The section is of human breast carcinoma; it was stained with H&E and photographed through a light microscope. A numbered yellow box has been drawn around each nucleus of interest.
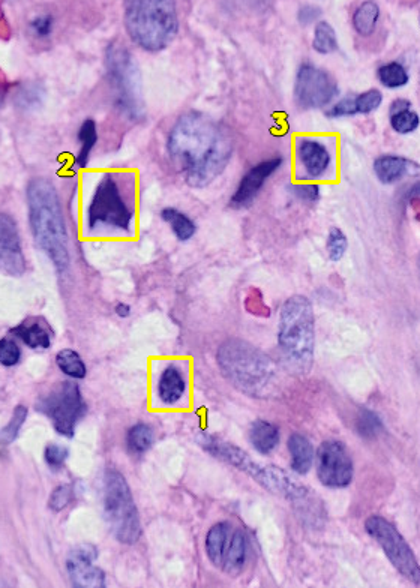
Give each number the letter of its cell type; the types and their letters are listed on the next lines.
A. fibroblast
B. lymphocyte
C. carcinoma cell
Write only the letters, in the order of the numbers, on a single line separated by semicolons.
B; C; B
